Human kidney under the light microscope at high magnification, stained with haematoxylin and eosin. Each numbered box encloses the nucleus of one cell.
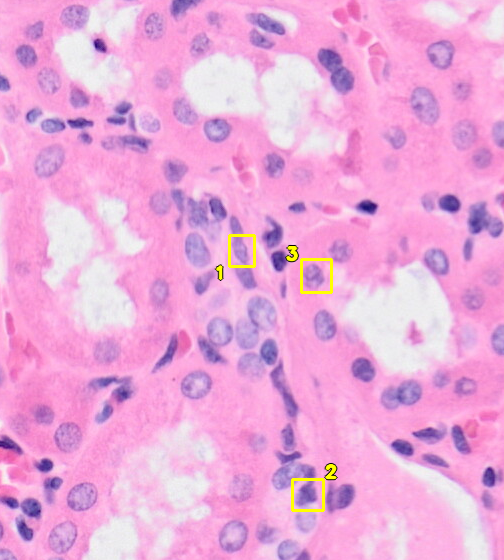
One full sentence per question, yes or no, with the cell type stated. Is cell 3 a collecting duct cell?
No, cell 3 is classified as a loop of Henle or distal tubule cell rather than a collecting duct cell.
